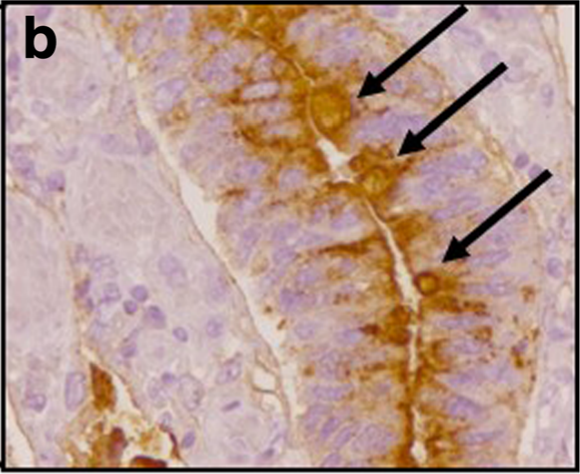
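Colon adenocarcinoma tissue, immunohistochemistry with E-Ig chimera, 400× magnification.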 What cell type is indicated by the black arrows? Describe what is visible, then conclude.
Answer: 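Goblet cells. The arrows point to rounded, vacuole-like cells within a row of tall columnar epithelial cells. The rounded cells hold brown-stained content. They lie at the luminal side of the epithelium.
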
